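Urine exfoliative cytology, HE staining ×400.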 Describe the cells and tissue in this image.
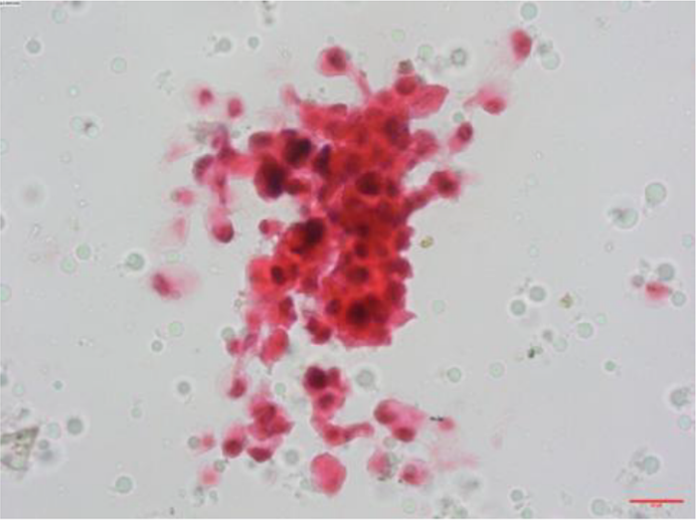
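The cells have strongly pink-red cytoplasm and dark purple nuclei. In the centre of the group they are crowded together, and their nuclei overlap. The nuclei look large compared with the cytoplasm around them. Toward the edges, the cluster loosens into single cells and small groups that trail outward, some with rounded or drawn-out shapes. The background is clear and pale. It holds many small, round, colourless bodies and a few scattered specks of debris. No ordinary tissue arrangement can be seen in the cluster.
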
